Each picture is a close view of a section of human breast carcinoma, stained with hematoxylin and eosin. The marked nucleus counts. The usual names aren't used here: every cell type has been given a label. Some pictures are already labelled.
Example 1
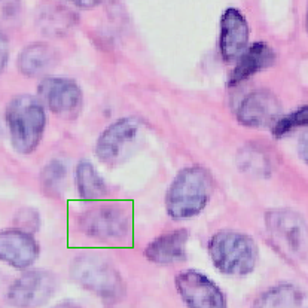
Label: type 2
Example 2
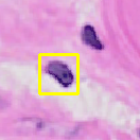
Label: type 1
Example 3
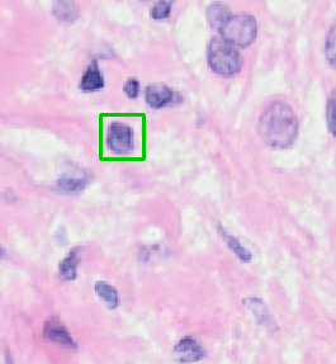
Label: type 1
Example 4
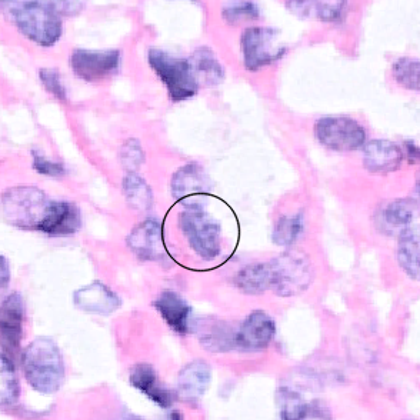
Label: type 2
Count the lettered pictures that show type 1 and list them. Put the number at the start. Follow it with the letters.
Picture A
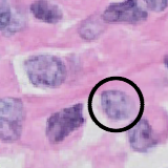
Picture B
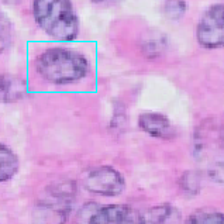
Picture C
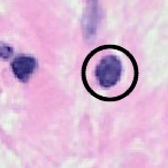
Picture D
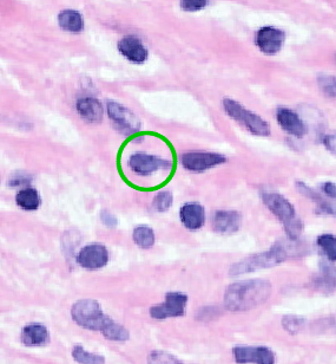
2: C, D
